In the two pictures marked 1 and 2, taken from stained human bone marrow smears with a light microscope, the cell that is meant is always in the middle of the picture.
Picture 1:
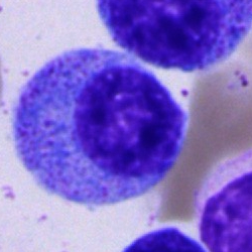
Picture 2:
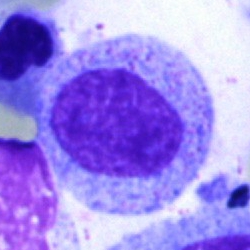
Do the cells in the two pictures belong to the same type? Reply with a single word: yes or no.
no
